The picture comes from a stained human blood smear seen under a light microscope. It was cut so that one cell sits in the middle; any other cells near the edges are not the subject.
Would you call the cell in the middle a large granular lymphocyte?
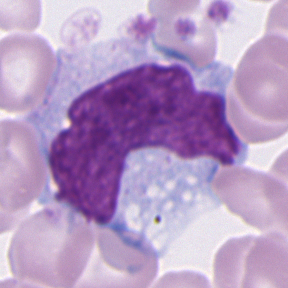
no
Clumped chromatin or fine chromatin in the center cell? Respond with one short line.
Coarse clumps are absent, and the chromatin is fine throughout.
